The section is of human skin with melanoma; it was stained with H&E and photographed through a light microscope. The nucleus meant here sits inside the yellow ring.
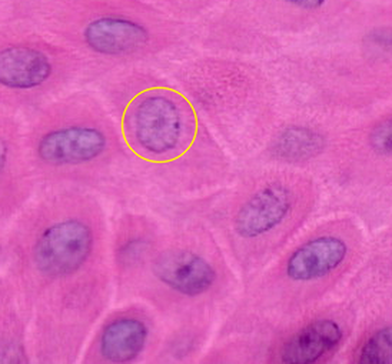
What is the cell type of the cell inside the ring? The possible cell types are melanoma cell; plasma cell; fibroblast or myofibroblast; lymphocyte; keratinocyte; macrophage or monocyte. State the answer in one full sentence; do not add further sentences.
What the cell inside the ring represents is a keratinocyte.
